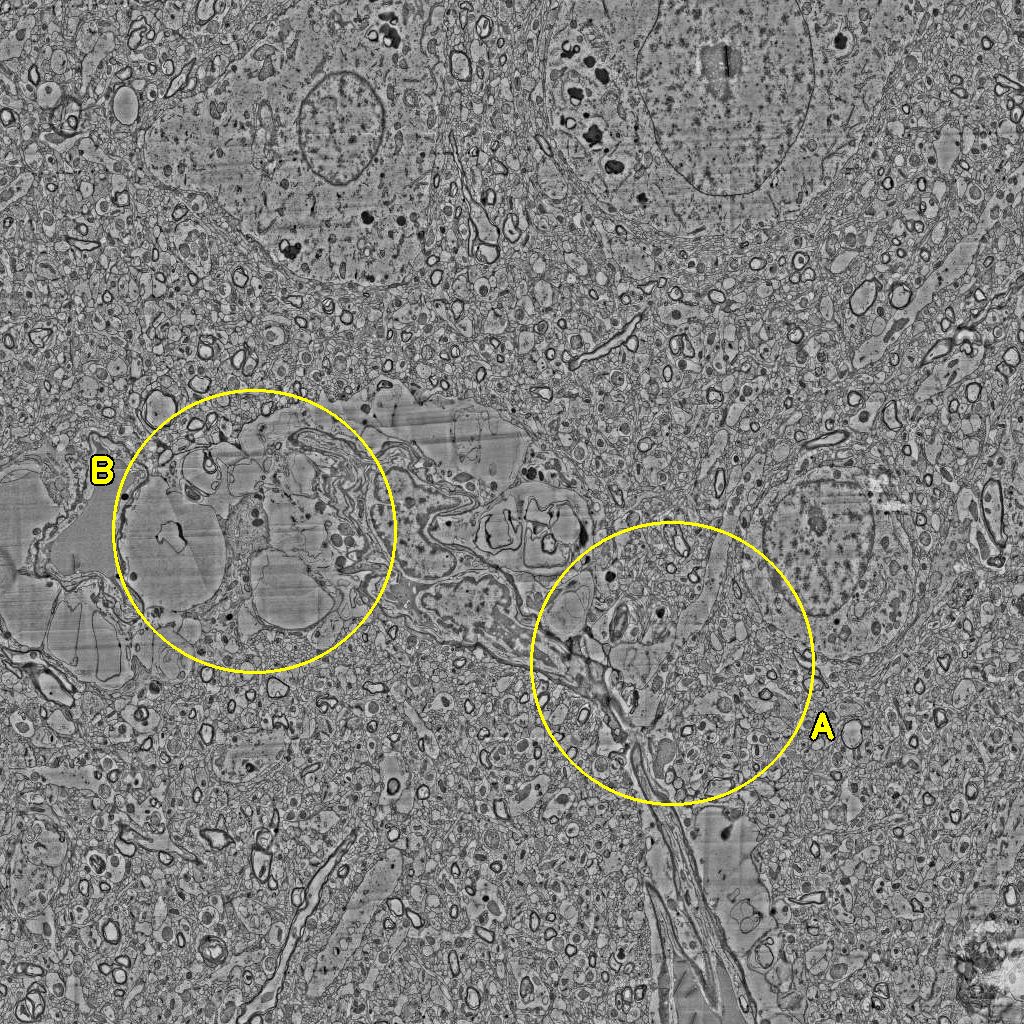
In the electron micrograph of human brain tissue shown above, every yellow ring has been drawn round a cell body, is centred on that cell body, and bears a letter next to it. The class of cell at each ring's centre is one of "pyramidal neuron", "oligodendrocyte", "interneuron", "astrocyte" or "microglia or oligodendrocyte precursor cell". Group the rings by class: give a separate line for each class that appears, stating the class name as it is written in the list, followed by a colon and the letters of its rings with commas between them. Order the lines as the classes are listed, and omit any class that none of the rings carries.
oligodendrocyte: B
microglia or oligodendrocyte precursor cell: A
